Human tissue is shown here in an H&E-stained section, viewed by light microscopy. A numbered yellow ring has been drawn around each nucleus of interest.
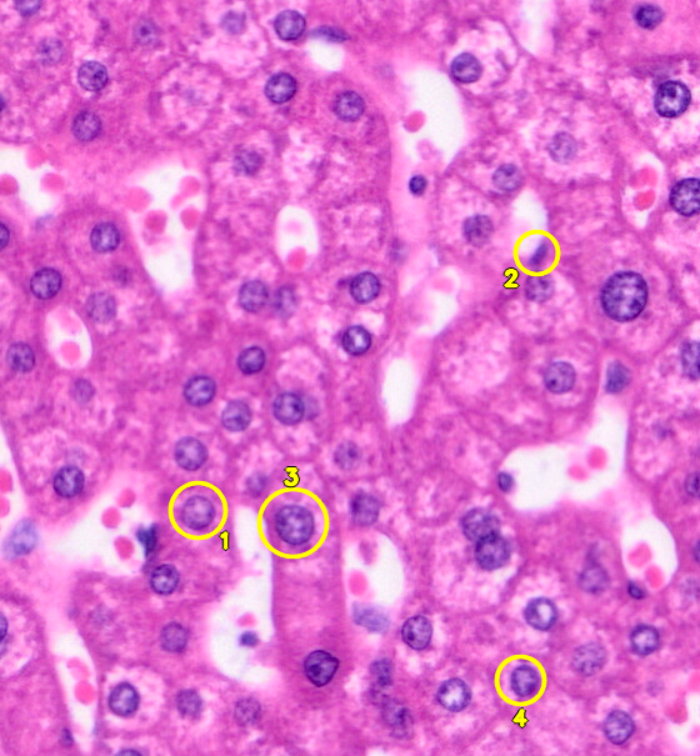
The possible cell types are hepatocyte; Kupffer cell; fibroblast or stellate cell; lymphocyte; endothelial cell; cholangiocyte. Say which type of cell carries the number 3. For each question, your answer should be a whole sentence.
Identified as a hepatocyte is the cell bearing the number 3.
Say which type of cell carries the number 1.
The cell identified by number 1 is a hepatocyte.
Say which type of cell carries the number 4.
The one numbered 4 among the marked cells is a hepatocyte.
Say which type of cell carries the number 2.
The cell identified by number 2 is an endothelial cell.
